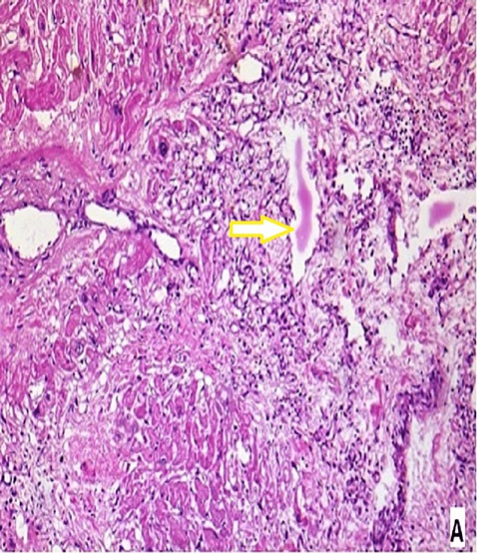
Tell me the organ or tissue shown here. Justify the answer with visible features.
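Granulation tissue. Loose pale tissue with many scattered small nuclei lies between pink muscle fibers. Numerous small open vascular spaces, some holding pink material, lie within the loose tissue.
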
